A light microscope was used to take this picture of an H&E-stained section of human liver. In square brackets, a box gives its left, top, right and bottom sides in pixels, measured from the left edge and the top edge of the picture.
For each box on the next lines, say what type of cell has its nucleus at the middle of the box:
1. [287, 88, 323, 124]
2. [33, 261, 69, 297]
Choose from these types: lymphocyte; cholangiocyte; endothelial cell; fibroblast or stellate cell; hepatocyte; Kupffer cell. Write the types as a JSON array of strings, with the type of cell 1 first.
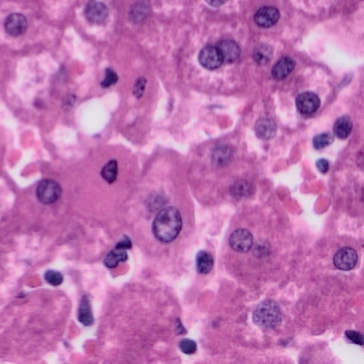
["hepatocyte", "lymphocyte"]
